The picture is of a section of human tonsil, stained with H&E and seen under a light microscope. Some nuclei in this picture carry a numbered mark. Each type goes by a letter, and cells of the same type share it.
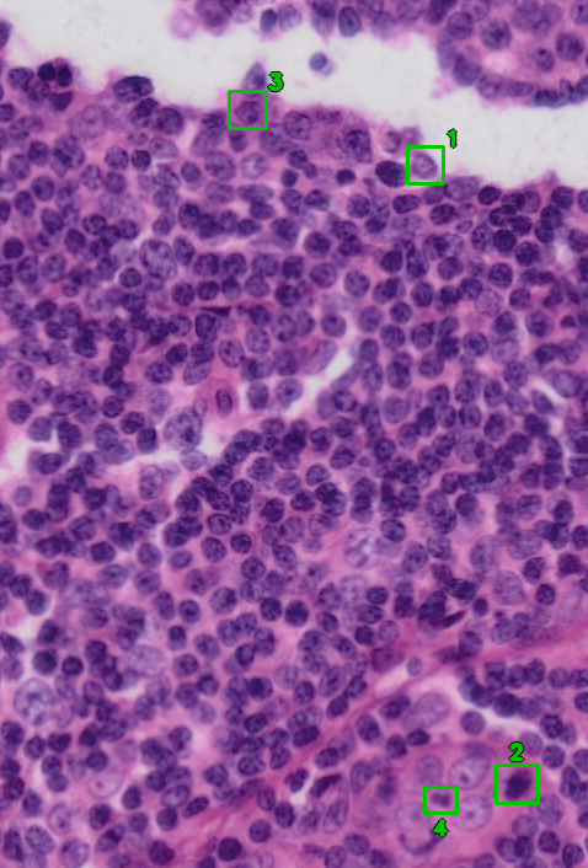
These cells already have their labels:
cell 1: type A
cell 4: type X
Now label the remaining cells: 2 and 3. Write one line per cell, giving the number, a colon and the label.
2: type X
3: type A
